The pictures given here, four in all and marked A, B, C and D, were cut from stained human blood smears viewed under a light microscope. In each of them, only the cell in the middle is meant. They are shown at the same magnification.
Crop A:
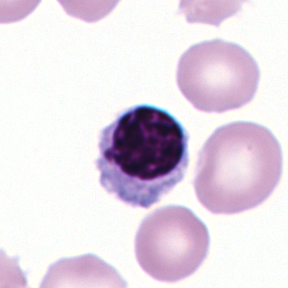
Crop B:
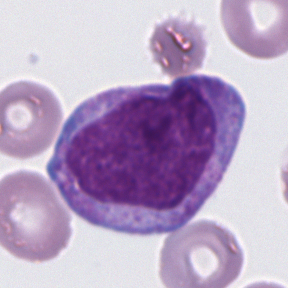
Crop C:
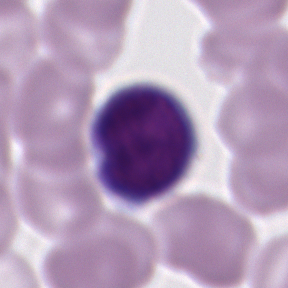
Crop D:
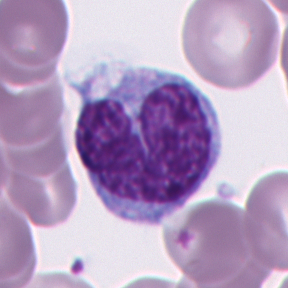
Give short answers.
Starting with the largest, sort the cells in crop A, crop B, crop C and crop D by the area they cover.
B, D, C, A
